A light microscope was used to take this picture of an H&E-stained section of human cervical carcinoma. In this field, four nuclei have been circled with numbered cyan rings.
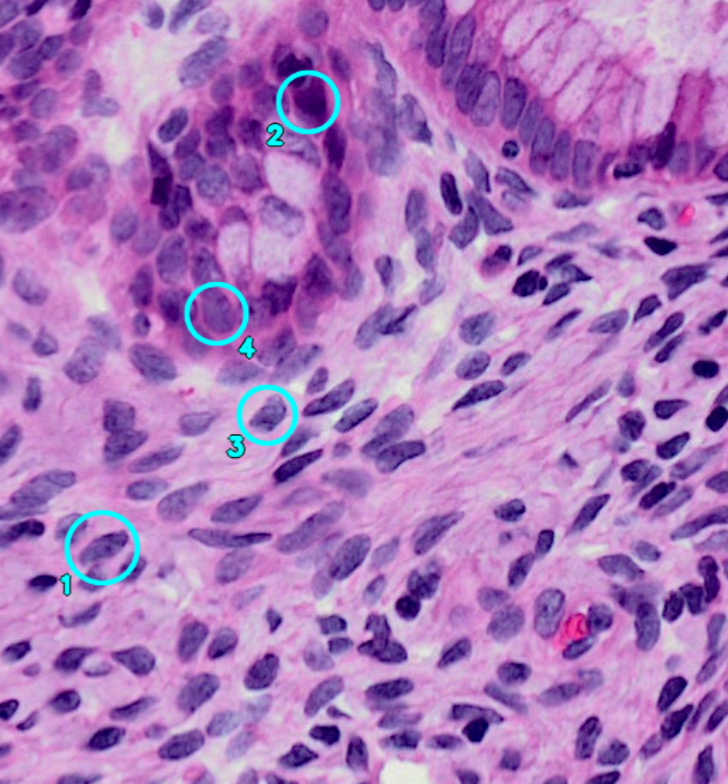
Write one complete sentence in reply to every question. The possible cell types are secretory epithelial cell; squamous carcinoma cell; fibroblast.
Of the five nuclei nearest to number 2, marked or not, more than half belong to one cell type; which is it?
Secretory epithelial cells make up most of the five nuclei closest to number 2.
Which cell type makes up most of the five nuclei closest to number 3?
Most of the five nuclei nearest to number 3 are those of fibroblasts.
